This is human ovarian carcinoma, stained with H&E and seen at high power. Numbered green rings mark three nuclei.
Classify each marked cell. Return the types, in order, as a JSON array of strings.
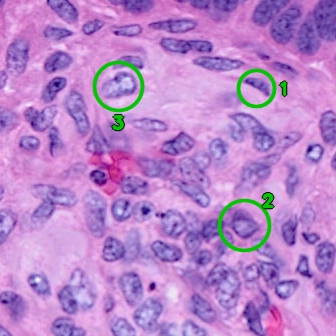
["fibroblast", "endothelial cell", "fibroblast"]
